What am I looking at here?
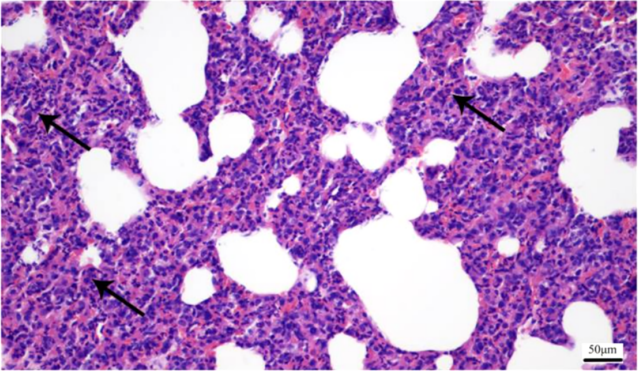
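This is lung tissue in a pink and purple stain in which most of the field is filled by dense sheets of small cells with dark purple nuclei. Only scattered, irregular air spaces remain open, and the normal thin-walled pattern of air sacs is largely lost.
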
